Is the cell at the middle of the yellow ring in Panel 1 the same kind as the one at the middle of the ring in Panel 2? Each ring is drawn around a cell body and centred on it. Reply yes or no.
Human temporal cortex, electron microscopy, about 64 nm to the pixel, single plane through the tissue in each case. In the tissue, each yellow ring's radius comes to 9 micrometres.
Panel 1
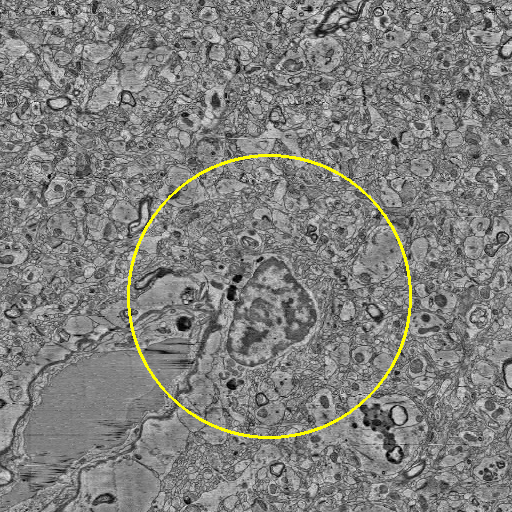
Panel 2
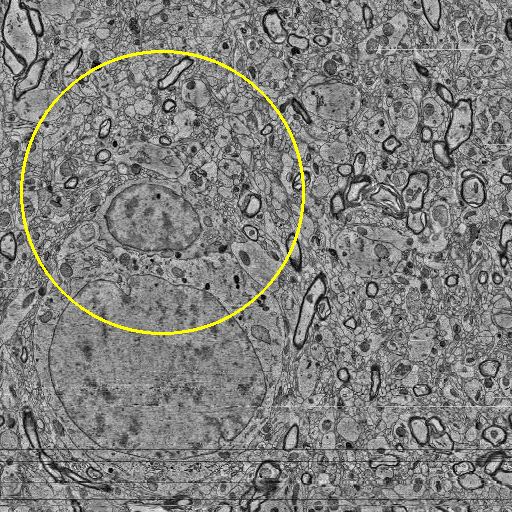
no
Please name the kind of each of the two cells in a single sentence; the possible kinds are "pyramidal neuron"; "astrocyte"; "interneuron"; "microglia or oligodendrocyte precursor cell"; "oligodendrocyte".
In the first picture the ring is centred on a microglial cell or oligodendrocyte precursor cell, and in the second on an oligodendrocyte.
